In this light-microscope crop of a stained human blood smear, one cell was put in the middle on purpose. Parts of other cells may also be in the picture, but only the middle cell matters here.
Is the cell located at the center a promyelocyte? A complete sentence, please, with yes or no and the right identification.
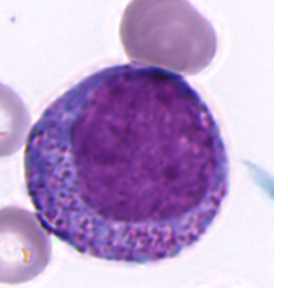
Yes, the one cell at the centre is a promyelocyte.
